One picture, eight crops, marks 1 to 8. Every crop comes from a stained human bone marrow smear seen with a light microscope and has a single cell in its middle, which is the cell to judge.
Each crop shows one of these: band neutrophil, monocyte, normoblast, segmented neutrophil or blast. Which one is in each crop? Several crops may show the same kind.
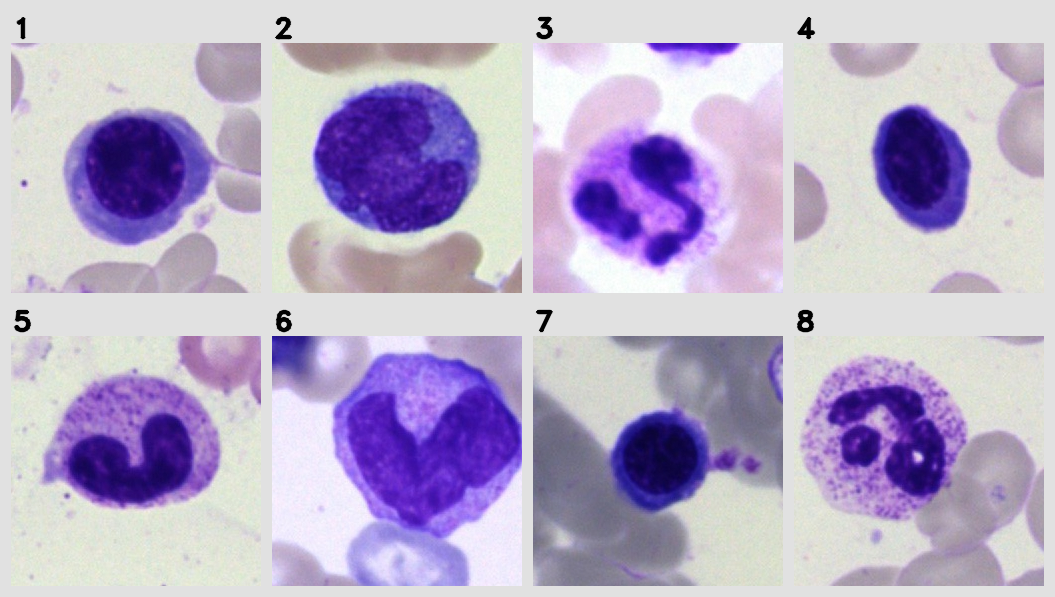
1: normoblast
2: monocyte
3: segmented neutrophil
4: normoblast
5: band neutrophil
6: monocyte
7: normoblast
8: segmented neutrophil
